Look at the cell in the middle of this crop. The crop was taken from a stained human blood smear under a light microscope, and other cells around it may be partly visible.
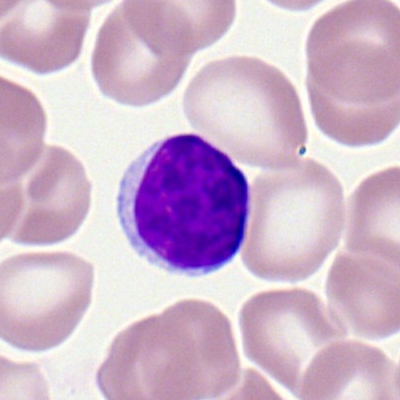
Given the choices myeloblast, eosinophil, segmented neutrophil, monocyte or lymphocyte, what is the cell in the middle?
lymphocyte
